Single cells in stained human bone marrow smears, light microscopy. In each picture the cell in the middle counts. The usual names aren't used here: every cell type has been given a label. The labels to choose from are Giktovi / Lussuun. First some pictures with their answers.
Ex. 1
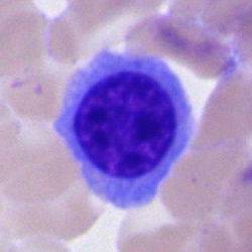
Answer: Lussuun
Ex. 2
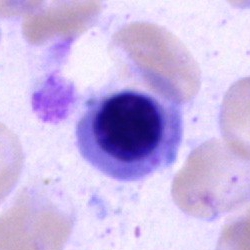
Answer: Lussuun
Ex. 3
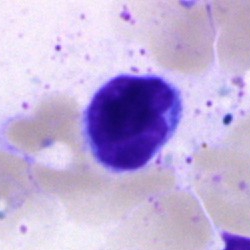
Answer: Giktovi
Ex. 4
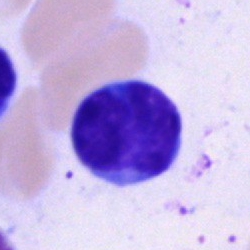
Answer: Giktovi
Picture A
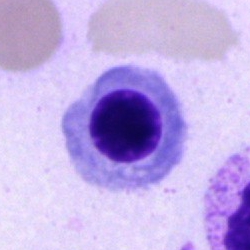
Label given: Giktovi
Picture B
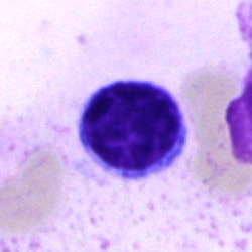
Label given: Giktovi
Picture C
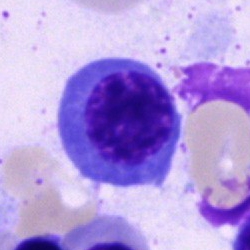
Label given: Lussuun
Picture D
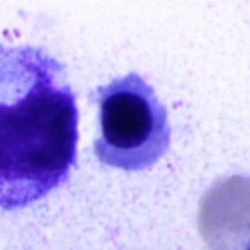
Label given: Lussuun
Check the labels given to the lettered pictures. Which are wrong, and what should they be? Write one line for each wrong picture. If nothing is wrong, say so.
A: Lussuun, not Giktovi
